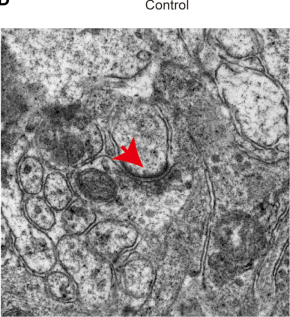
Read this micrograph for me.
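This is brain neuropil at high magnification, showing a synaptic contact between neural processes. At the marked site two membranes lie closely apposed, and one side carries a dark, thickened band of dense material. Nearby profiles contain small, round, clear vesicles. Mitochondria with inner membrane folds sit in the surrounding processes. The rest of the field is packed with membrane-bound profiles of axons and dendrites cut in various planes.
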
